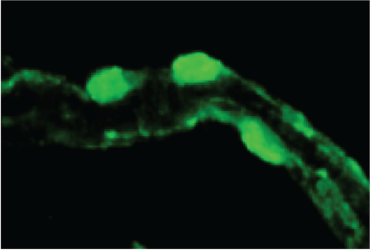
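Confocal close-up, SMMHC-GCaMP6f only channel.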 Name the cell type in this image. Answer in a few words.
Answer: Pericyte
